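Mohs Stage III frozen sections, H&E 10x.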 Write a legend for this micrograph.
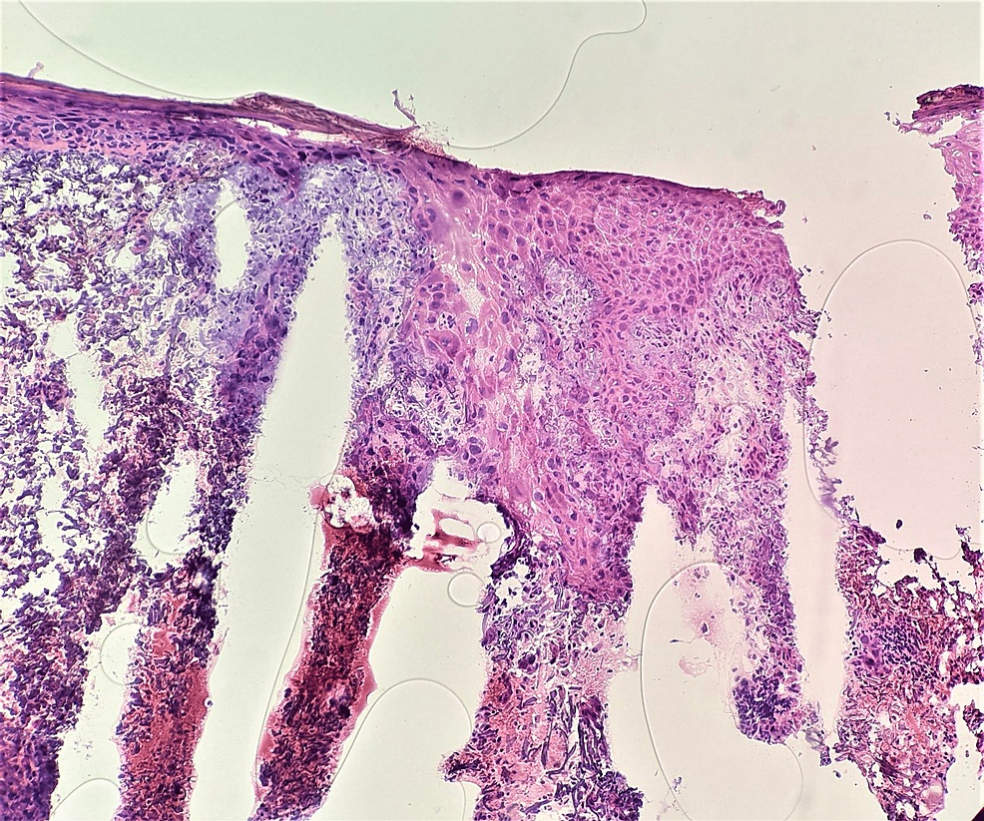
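This is a section of skin with a thickened squamous epidermis made of atypical keratinocytes. The keratinocytes have pink cytoplasm and enlarged, irregular, variably sized nuclei, and there is a thin pink cornified layer on top. The tissue between and beside the strands holds many small, dark blue cells, with areas of red blood cells and clefts from sectioning.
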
